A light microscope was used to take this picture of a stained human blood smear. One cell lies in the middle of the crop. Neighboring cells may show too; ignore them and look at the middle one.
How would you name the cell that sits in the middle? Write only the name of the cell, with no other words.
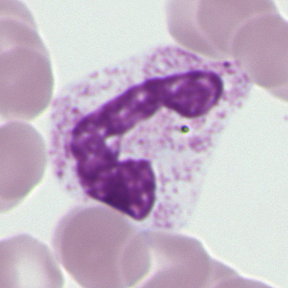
segmented neutrophil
